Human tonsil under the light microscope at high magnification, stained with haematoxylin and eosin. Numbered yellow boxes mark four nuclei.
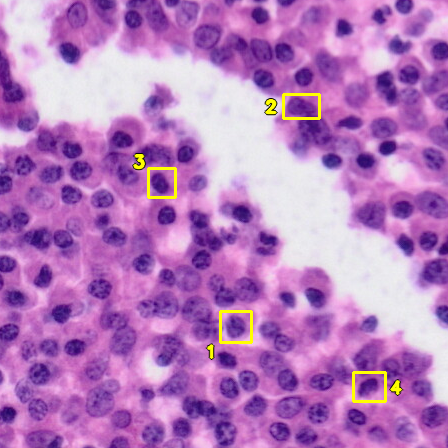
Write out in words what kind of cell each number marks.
Cells 1, 3 and 4 are plasma cells. Cell 2 is a squamous epithelial cell.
